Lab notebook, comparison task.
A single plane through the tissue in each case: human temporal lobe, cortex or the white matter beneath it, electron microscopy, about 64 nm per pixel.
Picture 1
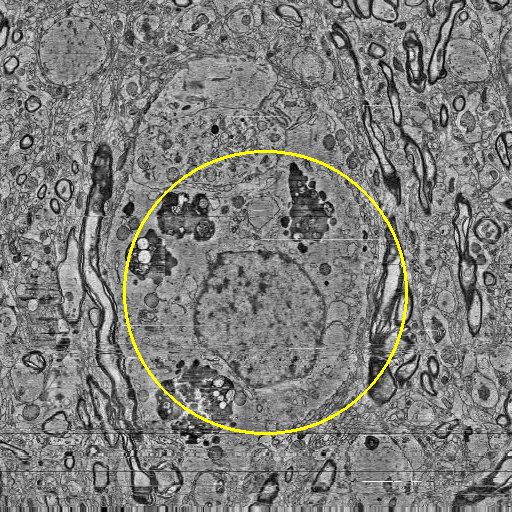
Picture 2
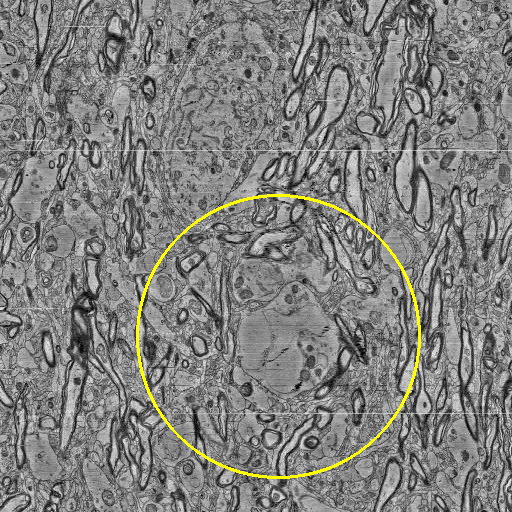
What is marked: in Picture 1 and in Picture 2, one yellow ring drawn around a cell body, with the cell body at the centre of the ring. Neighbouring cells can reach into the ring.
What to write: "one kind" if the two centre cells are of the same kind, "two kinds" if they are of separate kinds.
one kind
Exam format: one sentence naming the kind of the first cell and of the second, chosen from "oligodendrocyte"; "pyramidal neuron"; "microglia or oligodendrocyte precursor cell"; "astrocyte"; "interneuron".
In both pictures the ring is centred on an astrocyte.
